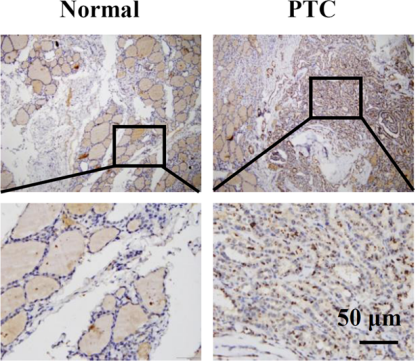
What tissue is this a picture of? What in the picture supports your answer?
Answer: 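The left-hand images show large rounded follicles filled with homogeneous pale pink-brown colloid. The follicles are lined by a single thin layer of flattened cells.
Answer: thyroid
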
